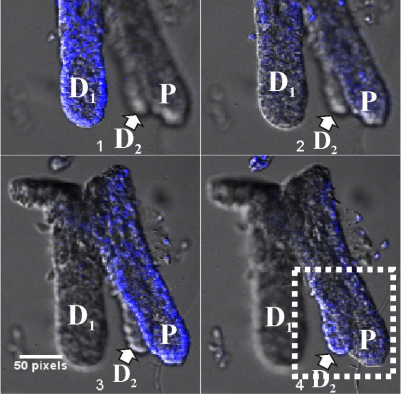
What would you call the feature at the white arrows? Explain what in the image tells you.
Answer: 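Buds. The arrows point to a small rounded outgrowth near the base of the crypts. The outgrowth is much shorter than the two long tubular crypts beside it.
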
